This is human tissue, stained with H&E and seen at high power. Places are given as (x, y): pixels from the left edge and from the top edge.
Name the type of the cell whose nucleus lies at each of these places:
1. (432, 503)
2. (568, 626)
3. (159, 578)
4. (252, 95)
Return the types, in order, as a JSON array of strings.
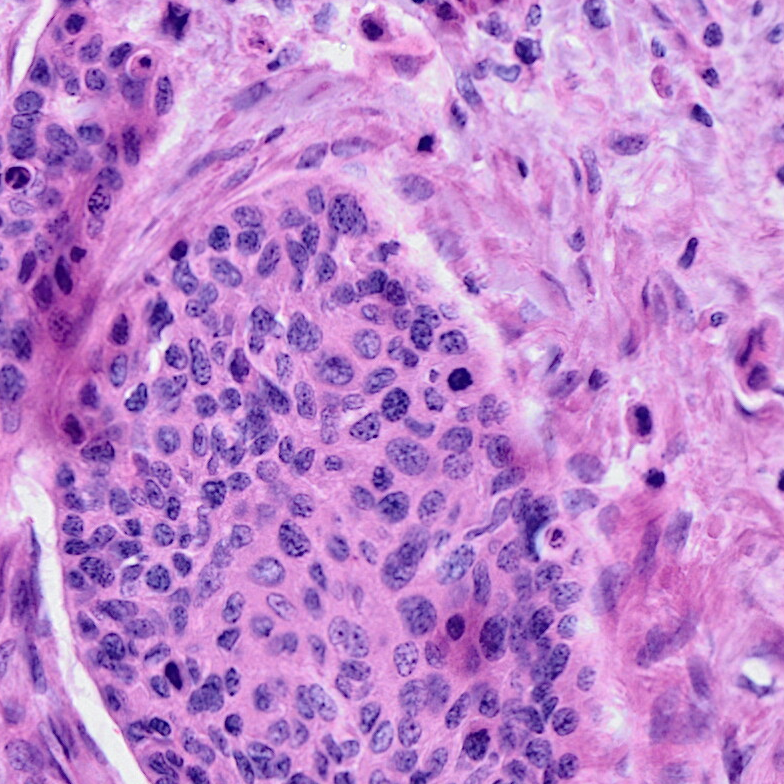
["squamous carcinoma cell", "squamous carcinoma cell", "squamous carcinoma cell", "fibroblast"]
